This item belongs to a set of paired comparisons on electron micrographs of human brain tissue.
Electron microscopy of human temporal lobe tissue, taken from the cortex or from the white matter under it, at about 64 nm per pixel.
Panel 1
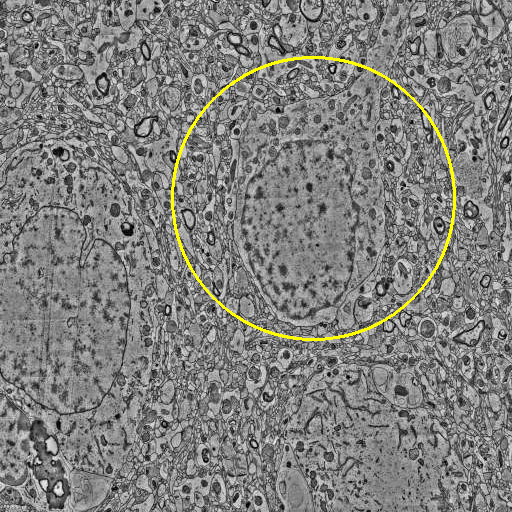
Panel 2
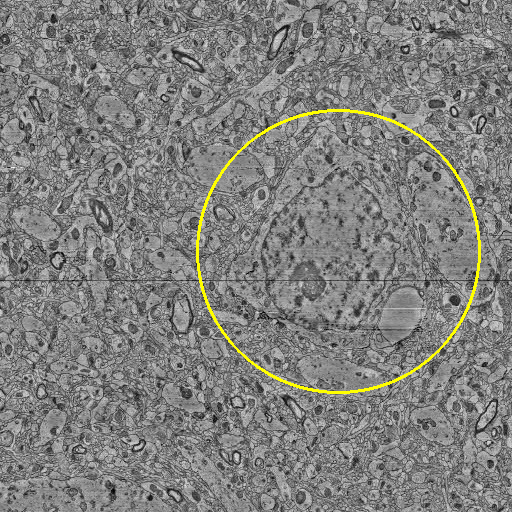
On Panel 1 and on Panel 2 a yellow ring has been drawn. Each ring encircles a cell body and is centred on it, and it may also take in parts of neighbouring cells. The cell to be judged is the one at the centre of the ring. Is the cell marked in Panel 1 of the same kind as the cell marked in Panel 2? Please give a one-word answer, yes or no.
yes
